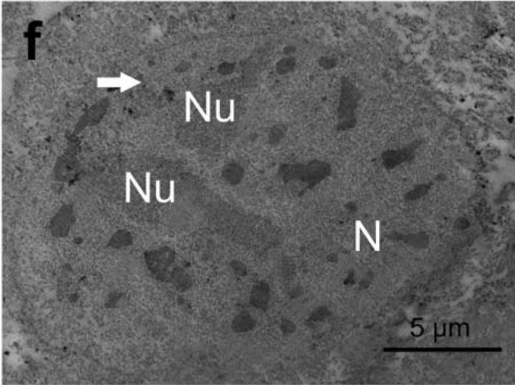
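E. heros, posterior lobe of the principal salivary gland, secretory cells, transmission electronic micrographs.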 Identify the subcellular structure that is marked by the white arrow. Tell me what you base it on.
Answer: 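Many similar dark irregular patches are scattered through the paler nucleoplasm.
Answer: condensed chromatin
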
